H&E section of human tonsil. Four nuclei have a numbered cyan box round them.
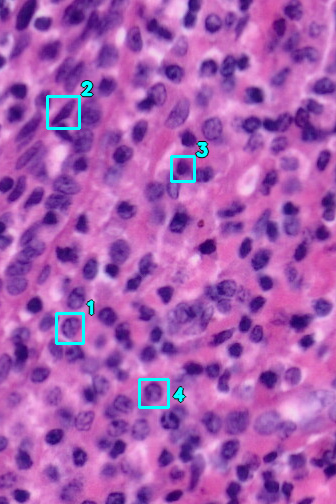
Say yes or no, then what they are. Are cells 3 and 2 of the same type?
No, cell 3 is a plasma cell and cell 2 is a squamous epithelial cell.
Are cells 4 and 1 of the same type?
Yes, both are plasma cells.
